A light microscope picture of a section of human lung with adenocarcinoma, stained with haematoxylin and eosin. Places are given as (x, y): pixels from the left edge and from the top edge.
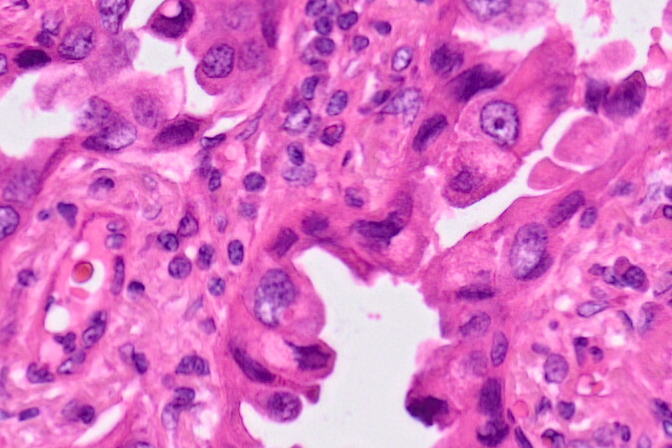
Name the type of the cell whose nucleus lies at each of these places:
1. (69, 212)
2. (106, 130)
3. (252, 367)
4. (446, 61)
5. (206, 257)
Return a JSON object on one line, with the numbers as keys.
{"1": "lymphocyte", "2": "carcinoma cell", "3": "carcinoma cell", "4": "carcinoma cell", "5": "lymphocyte"}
